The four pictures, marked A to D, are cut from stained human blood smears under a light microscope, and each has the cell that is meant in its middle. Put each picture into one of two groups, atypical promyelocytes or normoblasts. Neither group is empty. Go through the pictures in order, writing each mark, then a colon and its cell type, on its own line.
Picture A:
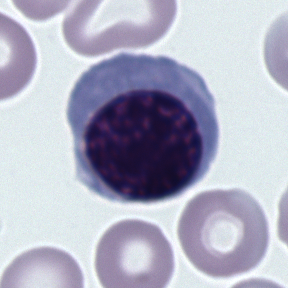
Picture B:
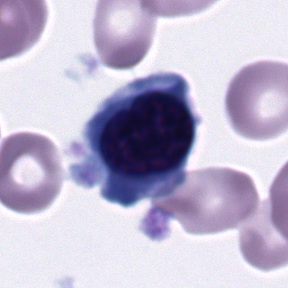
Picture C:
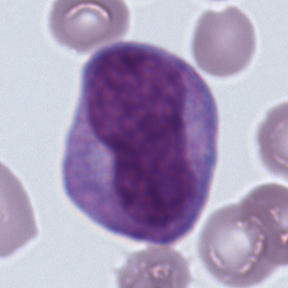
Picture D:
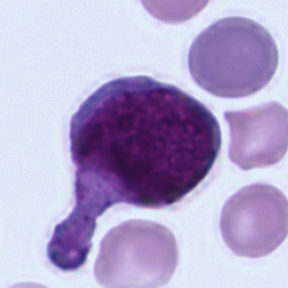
A: normoblast
B: normoblast
C: atypical promyelocyte
D: atypical promyelocyte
